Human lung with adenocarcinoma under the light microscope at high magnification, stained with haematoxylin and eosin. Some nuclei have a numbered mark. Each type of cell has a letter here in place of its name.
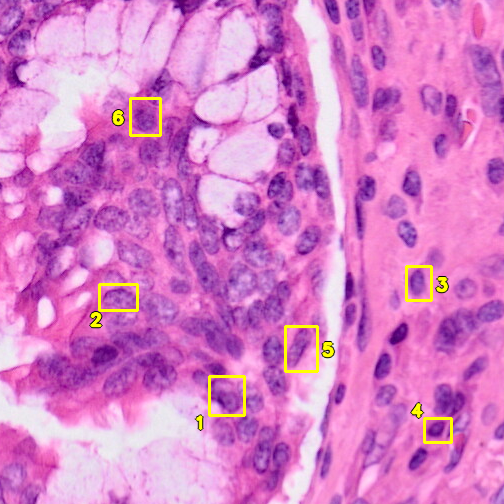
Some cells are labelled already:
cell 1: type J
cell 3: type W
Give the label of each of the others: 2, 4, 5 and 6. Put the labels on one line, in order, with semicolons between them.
type J; type W; type J; type J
